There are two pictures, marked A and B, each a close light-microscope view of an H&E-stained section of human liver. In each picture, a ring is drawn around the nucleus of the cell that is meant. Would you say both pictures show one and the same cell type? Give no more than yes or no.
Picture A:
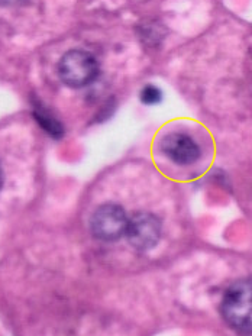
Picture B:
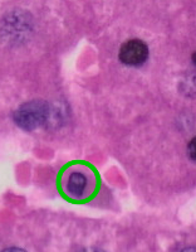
yes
